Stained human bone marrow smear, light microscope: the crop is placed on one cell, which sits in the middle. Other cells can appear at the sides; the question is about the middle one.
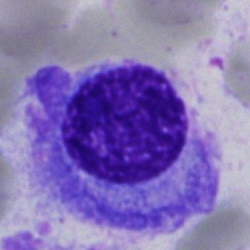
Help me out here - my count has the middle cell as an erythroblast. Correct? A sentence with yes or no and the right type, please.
No, the central cell does not count as an erythroblast; it is a plasma cell.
